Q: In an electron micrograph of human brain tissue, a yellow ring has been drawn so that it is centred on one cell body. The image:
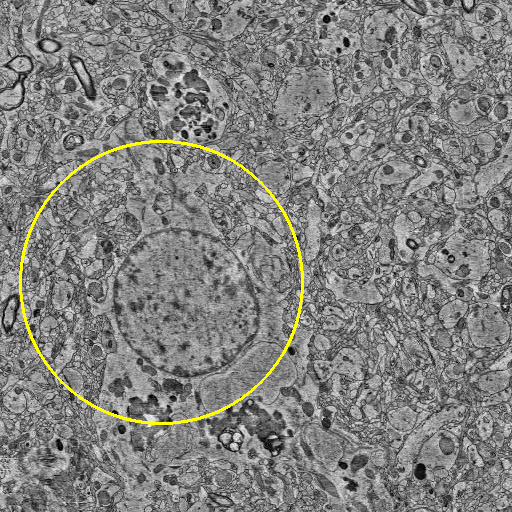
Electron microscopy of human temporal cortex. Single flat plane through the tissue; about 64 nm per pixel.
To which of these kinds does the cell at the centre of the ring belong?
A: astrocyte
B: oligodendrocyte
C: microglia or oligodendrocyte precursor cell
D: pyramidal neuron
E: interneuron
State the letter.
A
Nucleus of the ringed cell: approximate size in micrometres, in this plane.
In this plane, the nucleus measures approximately 9 micrometres across.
